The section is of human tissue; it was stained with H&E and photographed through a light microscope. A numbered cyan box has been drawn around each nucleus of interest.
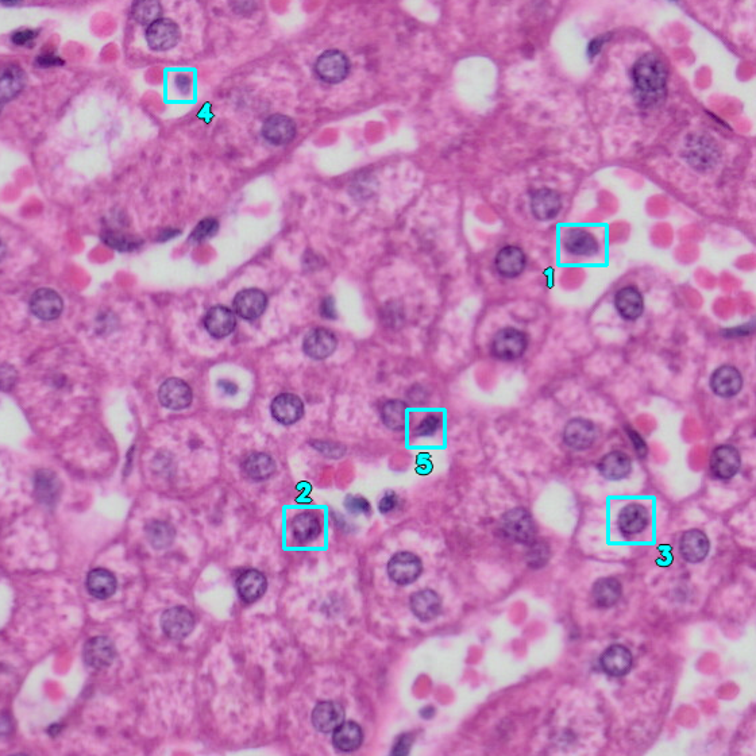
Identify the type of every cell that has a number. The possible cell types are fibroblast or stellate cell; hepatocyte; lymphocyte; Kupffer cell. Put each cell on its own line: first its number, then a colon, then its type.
1: Kupffer cell
2: hepatocyte
3: hepatocyte
4: lymphocyte
5: fibroblast or stellate cell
